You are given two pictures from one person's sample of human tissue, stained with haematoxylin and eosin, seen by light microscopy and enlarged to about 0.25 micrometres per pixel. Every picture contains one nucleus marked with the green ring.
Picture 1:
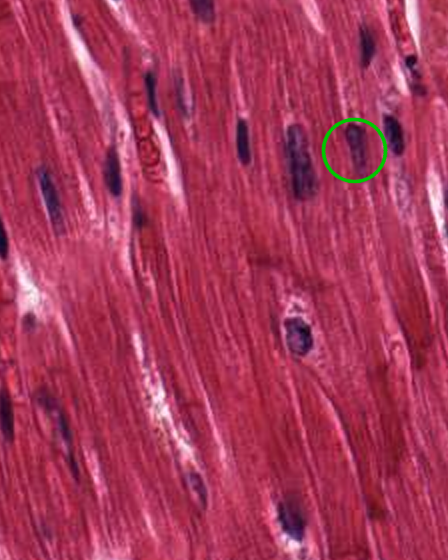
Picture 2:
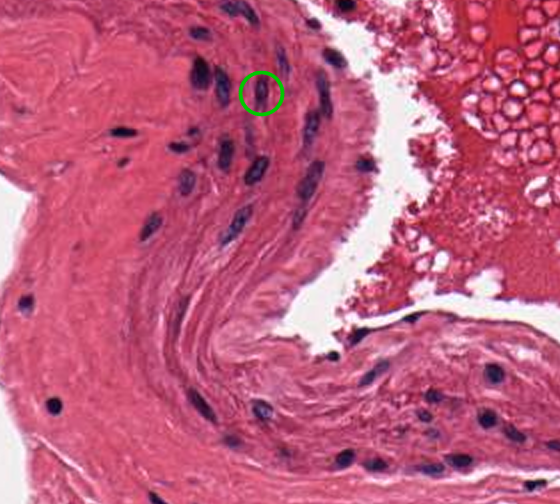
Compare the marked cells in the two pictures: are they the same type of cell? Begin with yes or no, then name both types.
No, the first is a cardiomyocyte and the second a smooth muscle cell.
